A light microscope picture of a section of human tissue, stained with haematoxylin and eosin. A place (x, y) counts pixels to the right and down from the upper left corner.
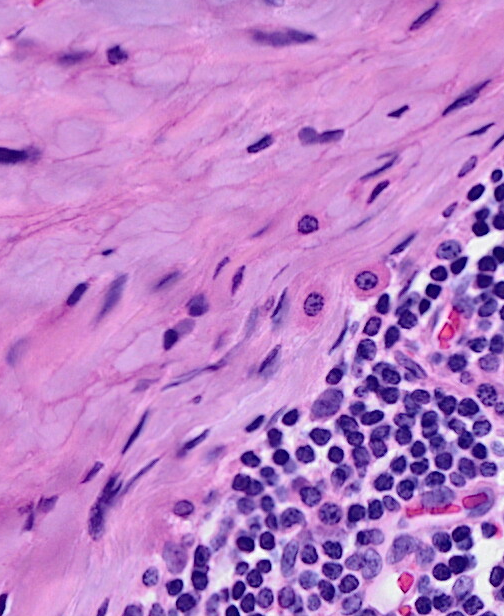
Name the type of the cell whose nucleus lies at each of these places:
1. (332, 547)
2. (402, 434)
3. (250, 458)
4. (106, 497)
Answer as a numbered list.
1. lymphocyte
2. lymphocyte
3. lymphocyte
4. fibroblast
